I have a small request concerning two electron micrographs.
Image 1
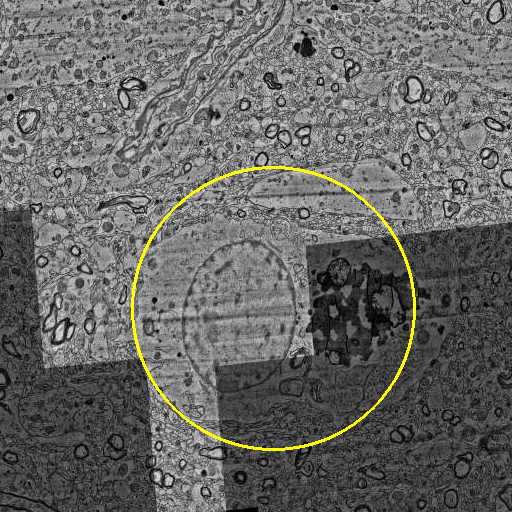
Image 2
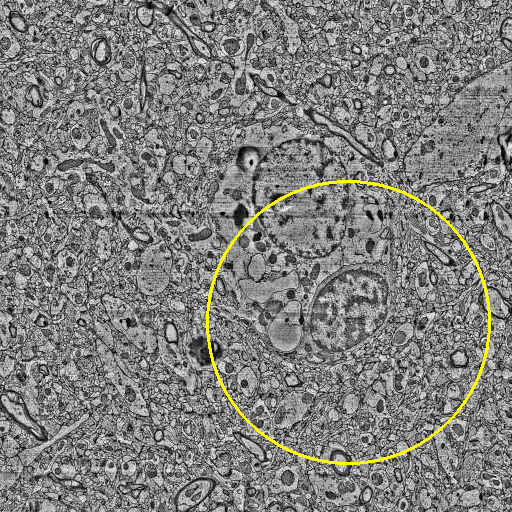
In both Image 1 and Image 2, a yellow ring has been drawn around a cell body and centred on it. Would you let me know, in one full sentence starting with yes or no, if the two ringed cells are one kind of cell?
No, the cells ringed in Image 1 and Image 2 are two kinds of cell.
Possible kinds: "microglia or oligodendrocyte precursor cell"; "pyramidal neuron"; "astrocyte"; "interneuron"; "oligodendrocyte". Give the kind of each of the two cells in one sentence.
The cell in the second picture is an oligodendrocyte, and that in the first is an astrocyte.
